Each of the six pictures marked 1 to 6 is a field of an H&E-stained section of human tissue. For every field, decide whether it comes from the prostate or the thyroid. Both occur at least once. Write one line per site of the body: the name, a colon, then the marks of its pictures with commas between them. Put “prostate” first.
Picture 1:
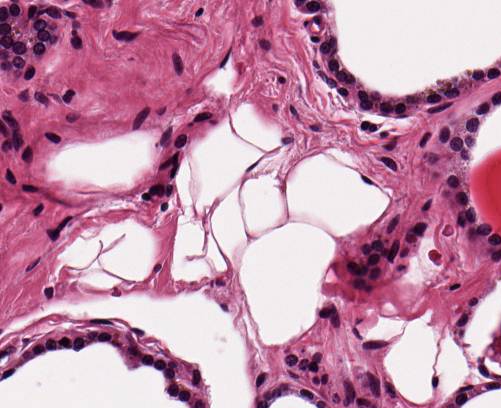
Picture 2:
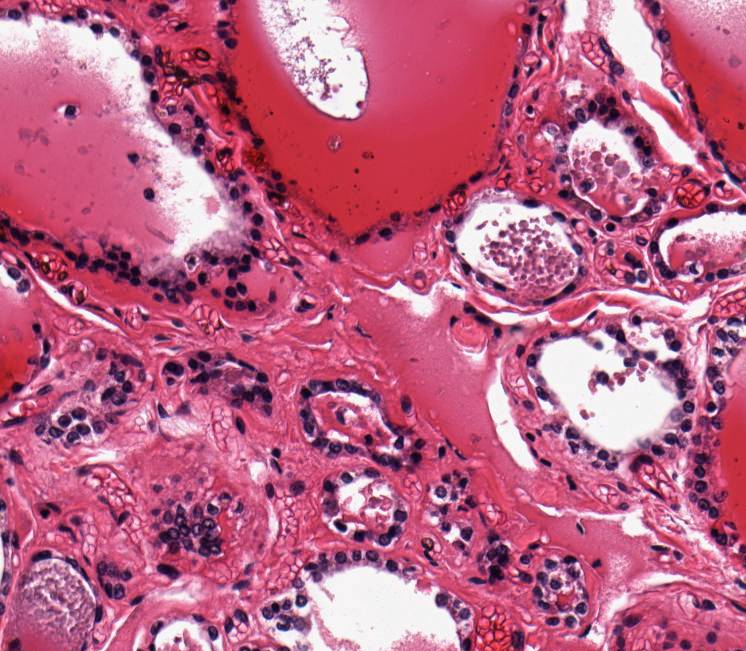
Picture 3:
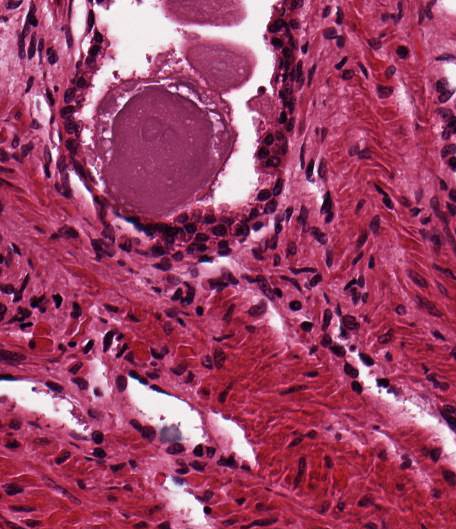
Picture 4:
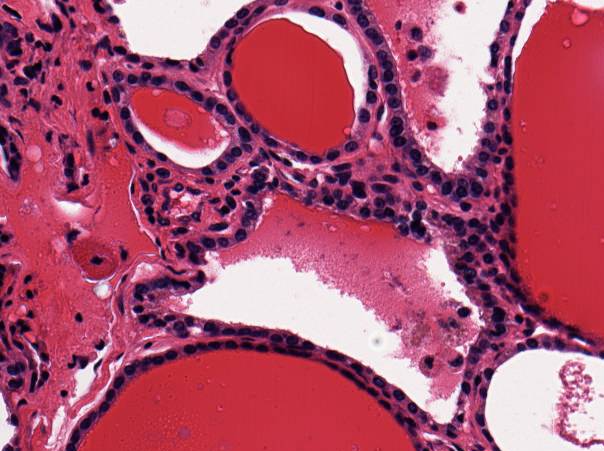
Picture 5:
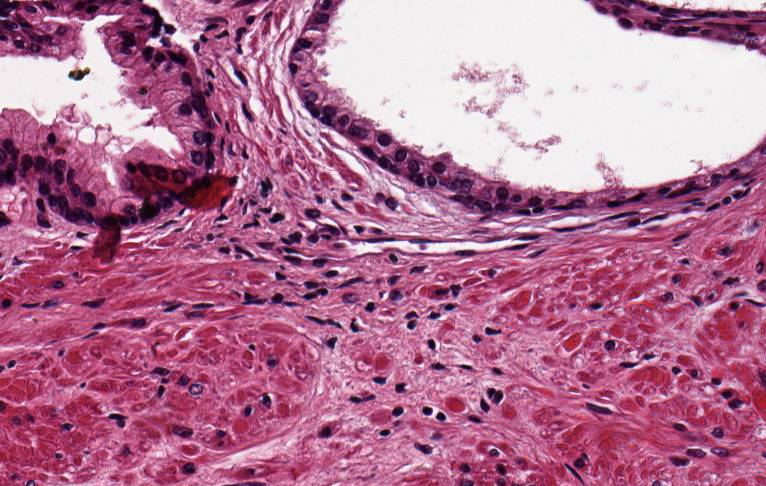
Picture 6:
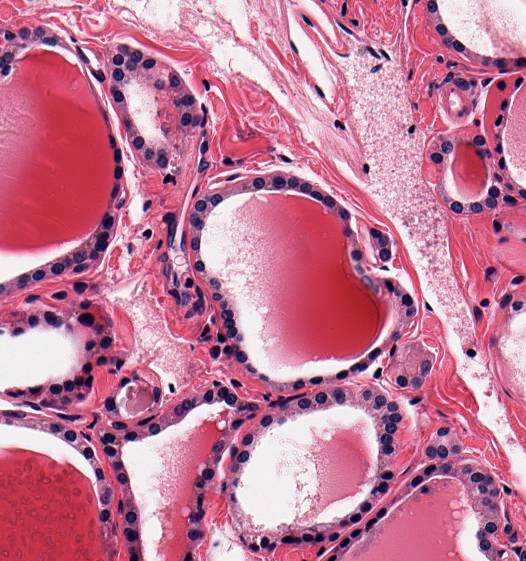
prostate: 3, 5
thyroid: 1, 2, 4, 6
